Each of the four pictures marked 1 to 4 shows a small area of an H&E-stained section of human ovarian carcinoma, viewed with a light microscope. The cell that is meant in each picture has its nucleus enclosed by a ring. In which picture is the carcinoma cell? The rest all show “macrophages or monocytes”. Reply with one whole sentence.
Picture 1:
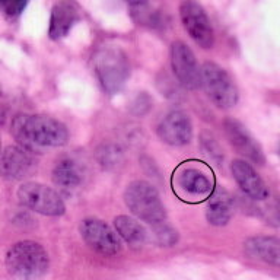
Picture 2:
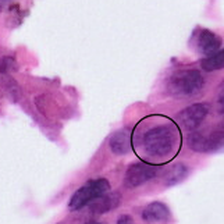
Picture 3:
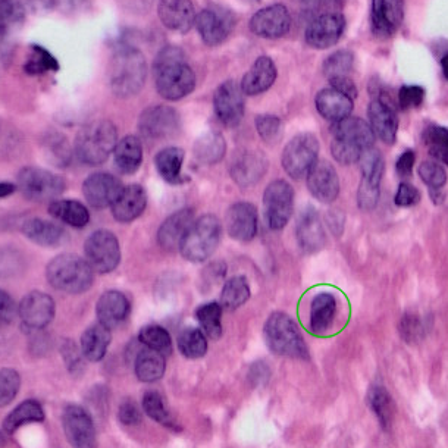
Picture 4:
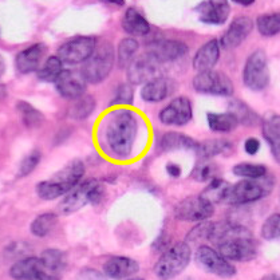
Picture 2 shows the carcinoma cell.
